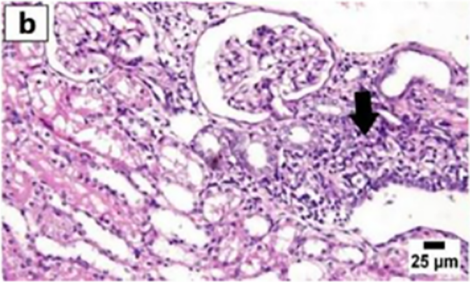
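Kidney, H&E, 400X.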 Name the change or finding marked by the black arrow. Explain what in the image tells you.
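A dense sheet of small, dark-purple round nuclei lies between the tubules at the arrow. The dense collection lies next to a glomerulus. On this evidence: interstitial and periglomerular inflammatory cell infiltration.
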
